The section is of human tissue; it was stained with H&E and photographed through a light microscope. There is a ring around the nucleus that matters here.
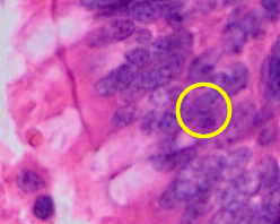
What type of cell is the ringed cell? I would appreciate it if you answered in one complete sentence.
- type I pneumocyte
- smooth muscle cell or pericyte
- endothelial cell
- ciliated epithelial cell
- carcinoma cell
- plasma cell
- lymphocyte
It is as a ciliated epithelial cell that the ringed cell is classified.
